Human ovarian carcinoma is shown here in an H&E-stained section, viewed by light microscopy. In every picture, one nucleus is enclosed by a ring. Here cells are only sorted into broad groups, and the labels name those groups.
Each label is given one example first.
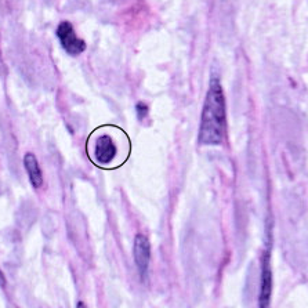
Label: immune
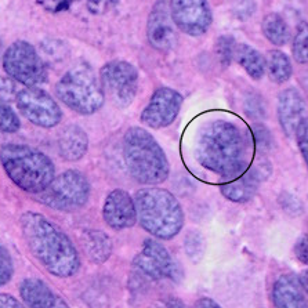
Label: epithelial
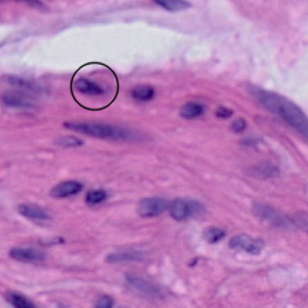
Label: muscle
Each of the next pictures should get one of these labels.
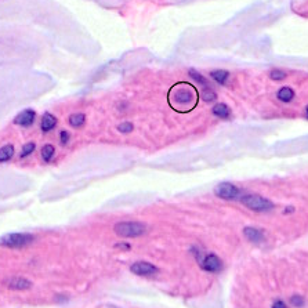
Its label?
muscle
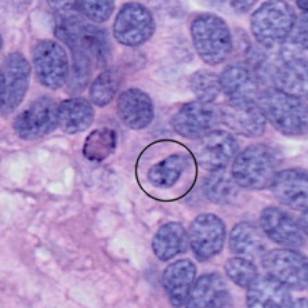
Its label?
immune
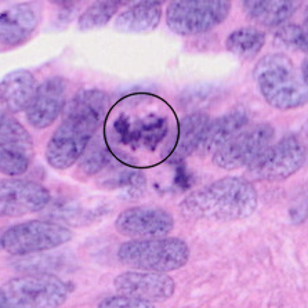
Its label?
epithelial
